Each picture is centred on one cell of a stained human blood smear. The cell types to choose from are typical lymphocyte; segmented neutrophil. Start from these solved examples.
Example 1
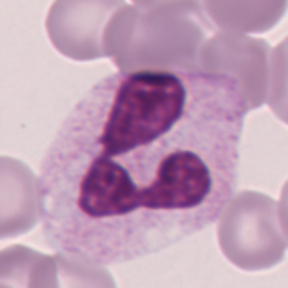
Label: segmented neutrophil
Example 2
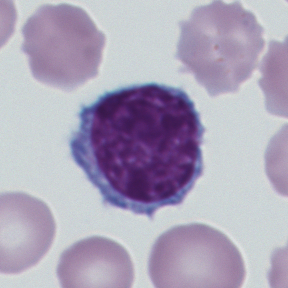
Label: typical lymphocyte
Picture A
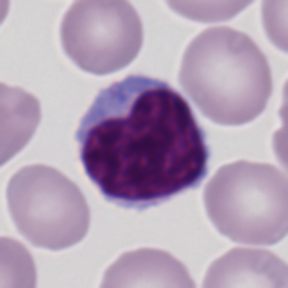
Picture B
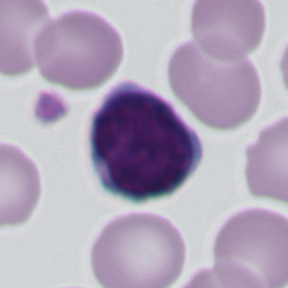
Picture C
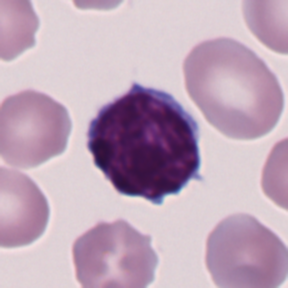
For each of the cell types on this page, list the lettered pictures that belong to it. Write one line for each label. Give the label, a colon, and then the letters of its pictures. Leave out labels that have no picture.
typical lymphocyte: A, B, C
